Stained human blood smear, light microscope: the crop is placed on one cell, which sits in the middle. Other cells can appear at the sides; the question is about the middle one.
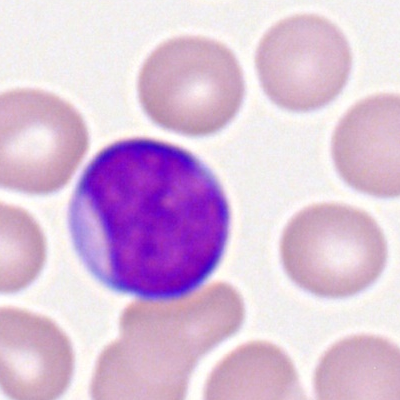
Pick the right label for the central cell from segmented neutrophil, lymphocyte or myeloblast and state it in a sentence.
The center cell of this crop is a myeloblast.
